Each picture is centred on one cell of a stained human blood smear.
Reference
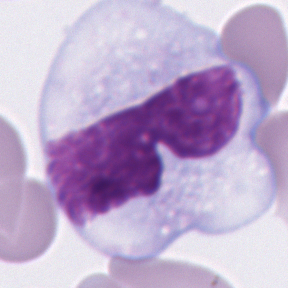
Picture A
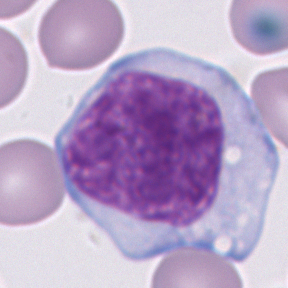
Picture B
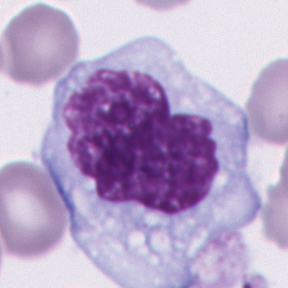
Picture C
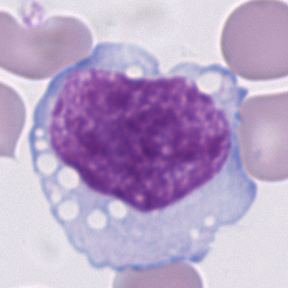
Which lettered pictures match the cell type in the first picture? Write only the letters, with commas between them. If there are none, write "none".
B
